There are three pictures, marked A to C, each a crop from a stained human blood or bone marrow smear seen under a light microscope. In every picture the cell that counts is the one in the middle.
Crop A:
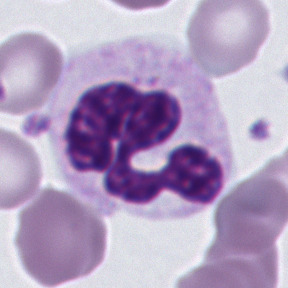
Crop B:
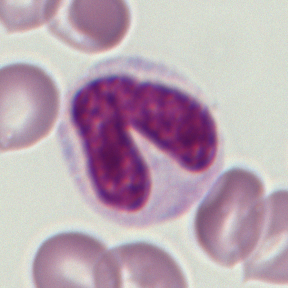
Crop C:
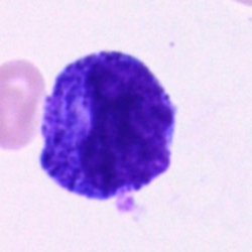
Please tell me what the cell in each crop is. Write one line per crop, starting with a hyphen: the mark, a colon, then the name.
- A: segmented neutrophil
- B: band neutrophil
- C: promyelocyte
